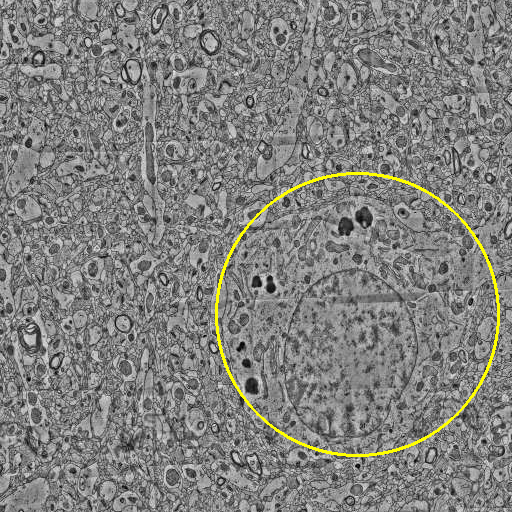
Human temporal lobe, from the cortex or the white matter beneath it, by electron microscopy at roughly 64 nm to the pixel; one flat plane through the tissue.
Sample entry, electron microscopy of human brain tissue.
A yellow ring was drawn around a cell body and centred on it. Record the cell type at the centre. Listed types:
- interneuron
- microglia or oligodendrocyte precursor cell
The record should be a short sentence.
The cell at the ring's centre is an interneuron.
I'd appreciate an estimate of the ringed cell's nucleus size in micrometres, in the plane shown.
The nucleus appears roughly 11 by 8 micrometres in this plane.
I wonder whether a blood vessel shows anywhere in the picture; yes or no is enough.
No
